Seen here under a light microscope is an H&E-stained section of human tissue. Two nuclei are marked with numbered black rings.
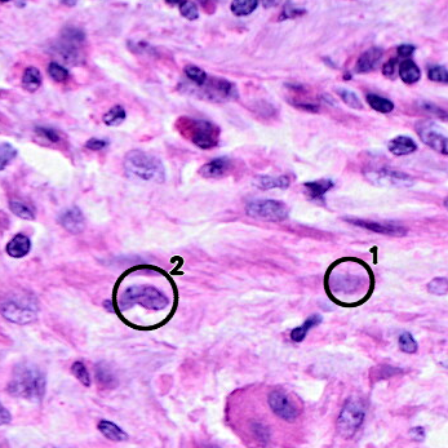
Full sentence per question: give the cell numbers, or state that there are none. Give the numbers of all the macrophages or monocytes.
Only the cell marked 2 is a macrophage or monocyte.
